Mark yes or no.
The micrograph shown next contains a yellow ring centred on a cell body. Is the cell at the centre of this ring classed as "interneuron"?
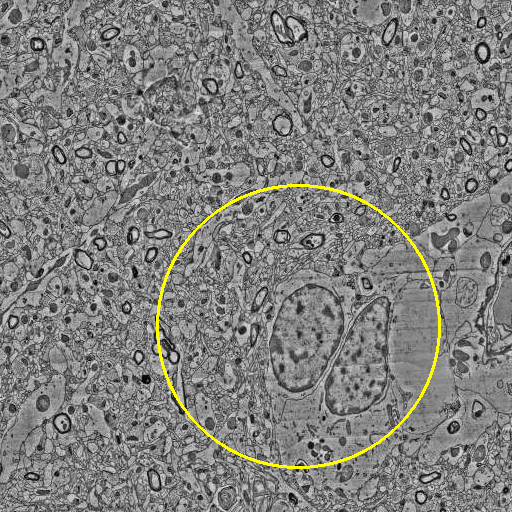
no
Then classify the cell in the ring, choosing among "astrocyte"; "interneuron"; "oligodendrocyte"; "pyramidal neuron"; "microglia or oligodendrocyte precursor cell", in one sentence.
The cell this ring marks is a microglial cell or oligodendrocyte precursor cell.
